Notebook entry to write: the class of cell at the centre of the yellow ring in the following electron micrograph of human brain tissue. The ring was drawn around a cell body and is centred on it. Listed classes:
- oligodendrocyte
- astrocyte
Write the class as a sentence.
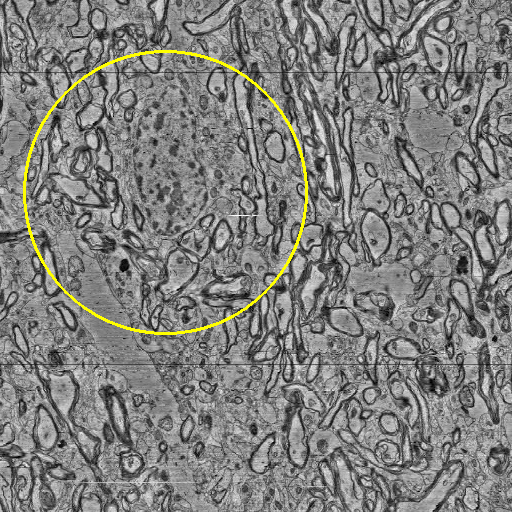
The yellow ring sits on an astrocyte.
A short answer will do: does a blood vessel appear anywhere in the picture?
No.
